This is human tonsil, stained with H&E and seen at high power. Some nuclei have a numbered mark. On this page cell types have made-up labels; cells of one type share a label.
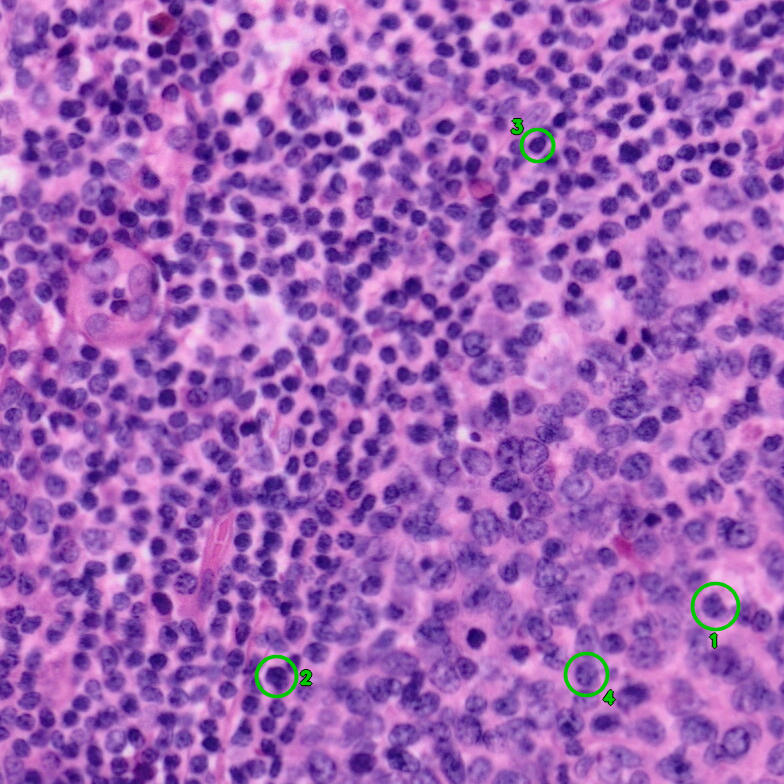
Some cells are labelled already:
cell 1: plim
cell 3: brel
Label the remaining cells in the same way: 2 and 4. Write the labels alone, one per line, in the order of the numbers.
plim
plim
